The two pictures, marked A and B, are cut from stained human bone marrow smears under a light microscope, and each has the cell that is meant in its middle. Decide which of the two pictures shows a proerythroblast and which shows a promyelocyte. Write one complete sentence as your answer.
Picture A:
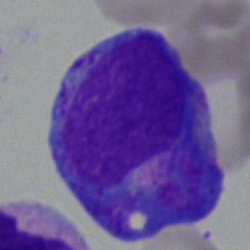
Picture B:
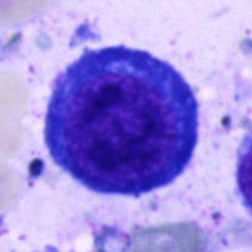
Picture A is of a promyelocyte, and picture B is of a proerythroblast.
